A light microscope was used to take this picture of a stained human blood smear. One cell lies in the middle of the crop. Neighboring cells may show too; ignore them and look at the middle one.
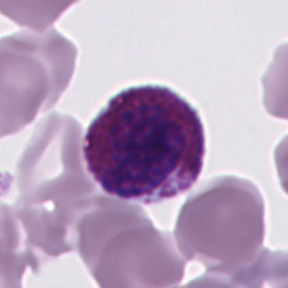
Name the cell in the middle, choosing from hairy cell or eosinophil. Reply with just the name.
eosinophil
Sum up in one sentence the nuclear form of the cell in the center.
The cell carries one compact nucleus shaped round, oval or like a kidney.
